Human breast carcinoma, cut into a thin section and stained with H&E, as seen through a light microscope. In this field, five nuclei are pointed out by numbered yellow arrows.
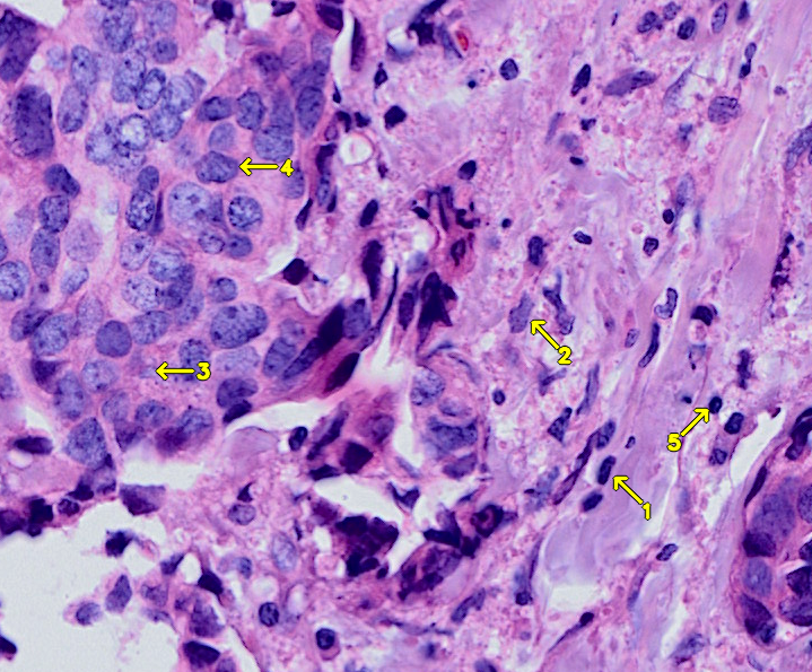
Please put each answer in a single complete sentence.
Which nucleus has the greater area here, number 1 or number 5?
The larger nucleus is 1, at roughly 1.5 times the area of 5.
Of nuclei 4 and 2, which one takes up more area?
Nucleus 4 is larger, with an area about 1.5 times that of nucleus 2.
